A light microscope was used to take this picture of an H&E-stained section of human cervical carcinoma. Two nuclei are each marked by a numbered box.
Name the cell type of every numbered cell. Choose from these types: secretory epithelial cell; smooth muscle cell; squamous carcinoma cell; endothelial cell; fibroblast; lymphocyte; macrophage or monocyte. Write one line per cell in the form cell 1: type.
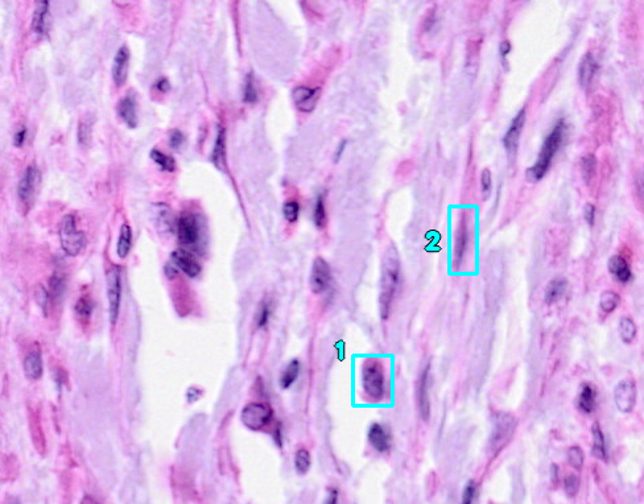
cell 1: macrophage or monocyte
cell 2: fibroblast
